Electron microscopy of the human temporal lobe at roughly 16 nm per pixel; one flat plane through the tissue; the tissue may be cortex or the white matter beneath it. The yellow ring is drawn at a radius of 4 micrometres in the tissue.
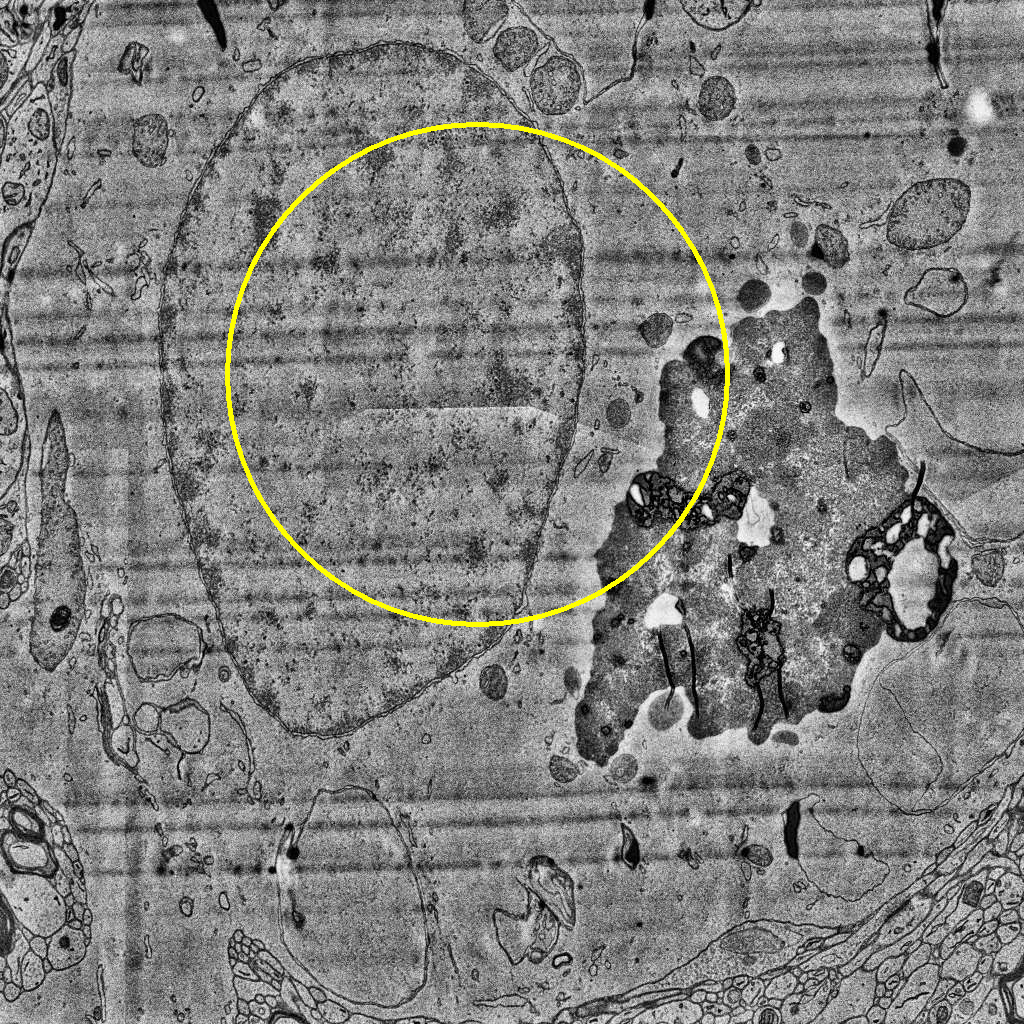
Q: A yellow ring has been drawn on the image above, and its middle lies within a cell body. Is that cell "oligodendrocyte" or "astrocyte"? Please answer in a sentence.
The ring's middle lies in the cell body of an astrocyte.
